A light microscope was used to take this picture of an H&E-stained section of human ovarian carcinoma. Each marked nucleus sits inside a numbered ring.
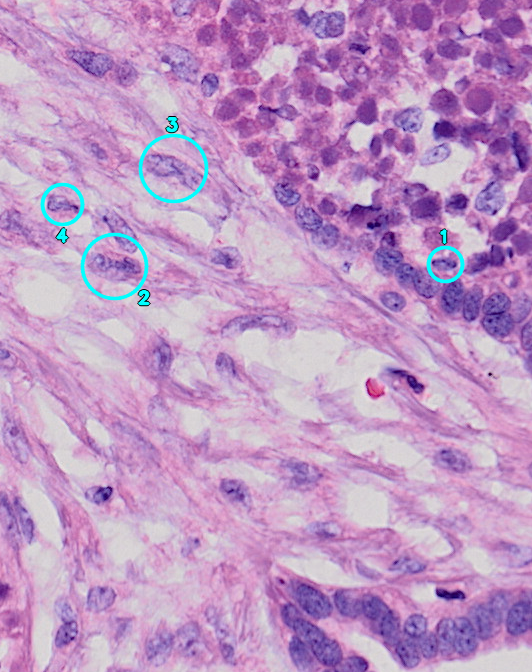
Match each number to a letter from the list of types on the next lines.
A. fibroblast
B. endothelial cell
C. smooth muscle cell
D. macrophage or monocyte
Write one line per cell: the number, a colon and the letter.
1: D
2: A
3: A
4: A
